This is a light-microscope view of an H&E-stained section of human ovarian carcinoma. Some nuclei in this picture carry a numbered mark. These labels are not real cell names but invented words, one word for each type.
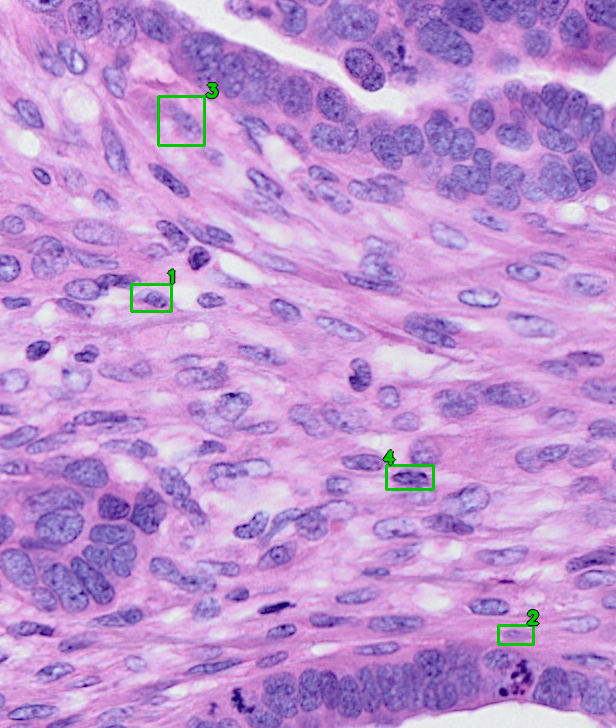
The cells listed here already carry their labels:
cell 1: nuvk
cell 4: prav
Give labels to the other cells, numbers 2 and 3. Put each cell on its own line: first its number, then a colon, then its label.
2: nuvk
3: nuvk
